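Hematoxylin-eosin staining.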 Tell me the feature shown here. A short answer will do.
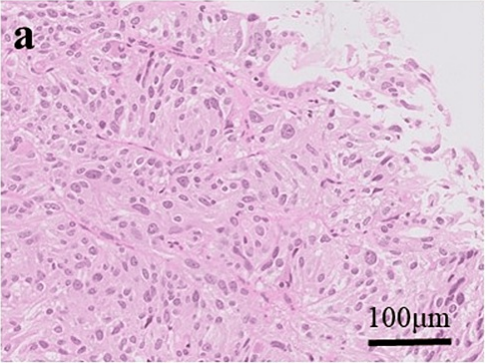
Zellballen appearance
